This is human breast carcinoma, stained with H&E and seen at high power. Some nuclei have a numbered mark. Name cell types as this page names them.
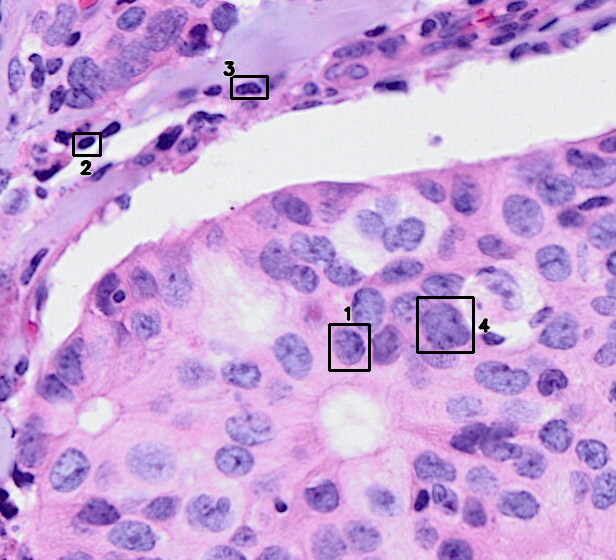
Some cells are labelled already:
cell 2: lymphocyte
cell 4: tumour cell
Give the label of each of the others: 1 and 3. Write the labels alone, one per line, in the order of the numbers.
tumour cell
lymphocyte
